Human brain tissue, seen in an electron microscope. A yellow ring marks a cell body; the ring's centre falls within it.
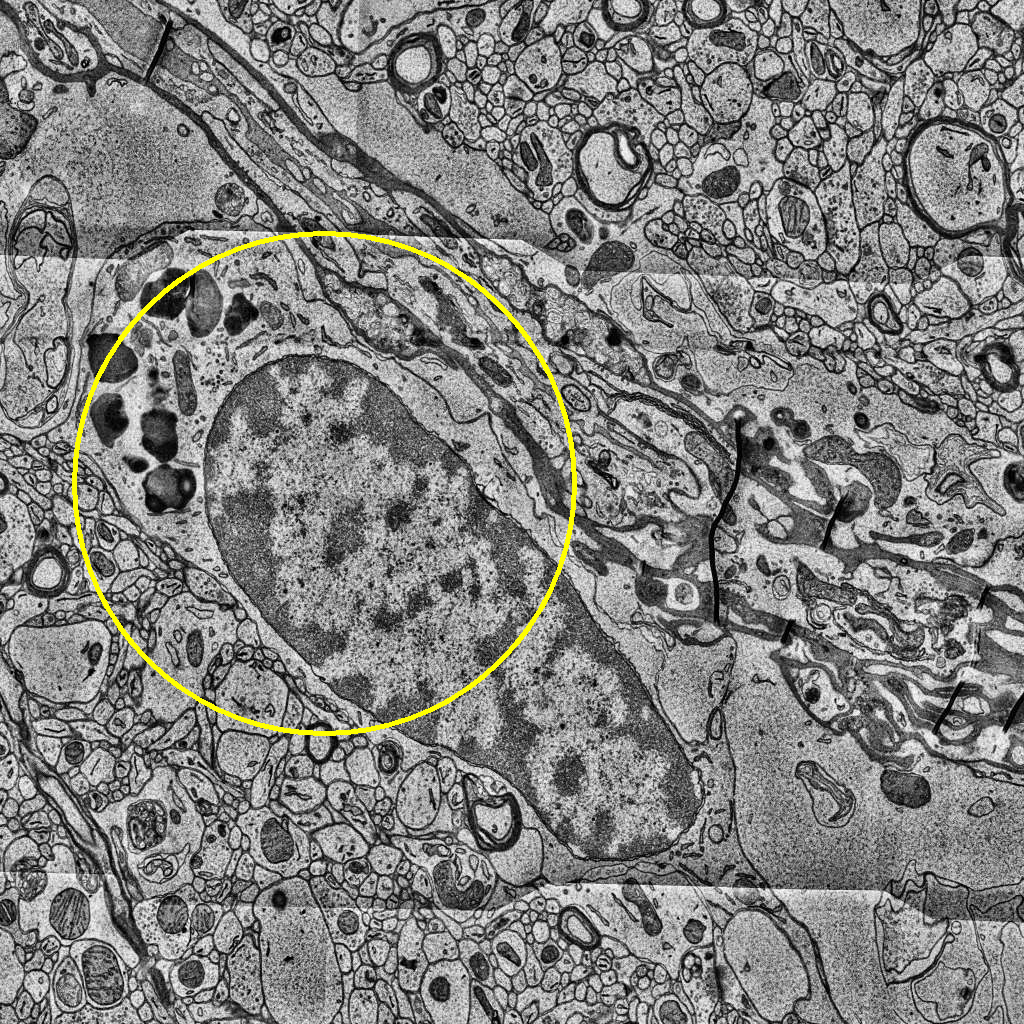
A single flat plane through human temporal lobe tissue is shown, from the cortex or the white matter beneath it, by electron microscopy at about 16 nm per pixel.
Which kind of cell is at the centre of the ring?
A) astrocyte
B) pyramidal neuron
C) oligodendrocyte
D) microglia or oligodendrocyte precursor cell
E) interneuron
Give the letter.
D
